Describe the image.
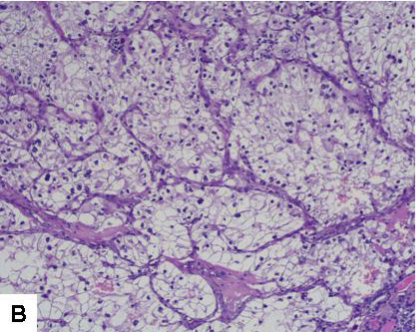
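Clear cell carcinoma arranged in nests and cords of large cells with pale, empty-looking cytoplasm, separated by thin pink fibrovascular septa. Small dark nuclei are scattered through the pale cells.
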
